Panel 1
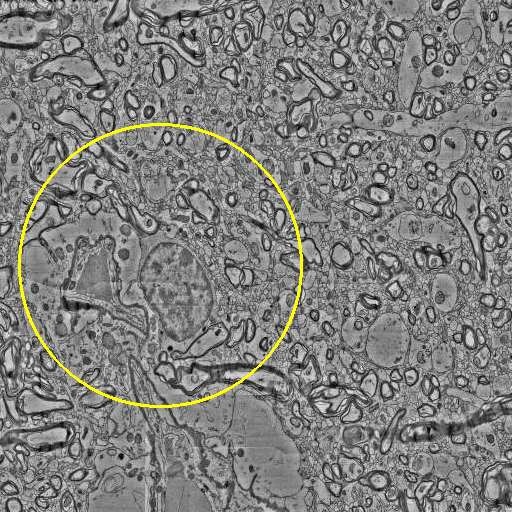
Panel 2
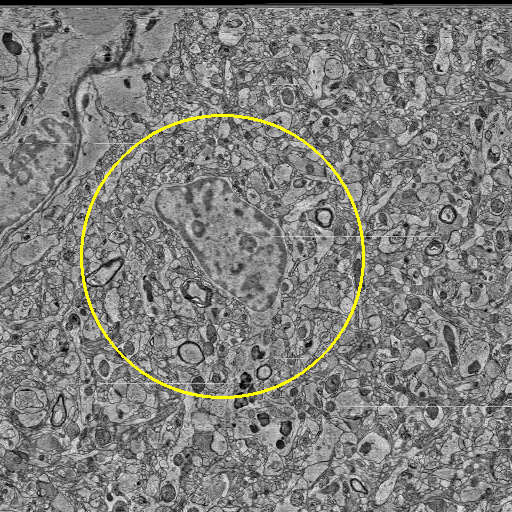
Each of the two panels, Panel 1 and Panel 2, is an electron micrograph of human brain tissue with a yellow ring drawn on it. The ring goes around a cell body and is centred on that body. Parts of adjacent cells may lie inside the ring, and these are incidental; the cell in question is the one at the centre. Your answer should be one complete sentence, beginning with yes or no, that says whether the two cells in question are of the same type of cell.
No, the two cells are of two types.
